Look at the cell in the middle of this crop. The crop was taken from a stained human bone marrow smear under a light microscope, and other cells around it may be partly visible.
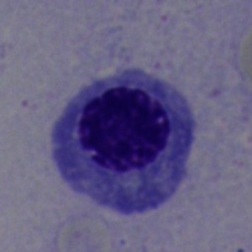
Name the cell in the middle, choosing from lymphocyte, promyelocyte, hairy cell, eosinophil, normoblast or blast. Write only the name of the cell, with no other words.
normoblast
